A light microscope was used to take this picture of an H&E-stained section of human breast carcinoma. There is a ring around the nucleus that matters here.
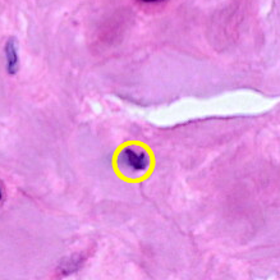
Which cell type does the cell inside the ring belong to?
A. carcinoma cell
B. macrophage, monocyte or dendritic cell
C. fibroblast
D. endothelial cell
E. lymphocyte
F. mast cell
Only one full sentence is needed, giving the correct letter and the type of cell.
Since the cell inside the ring is a fibroblast, the right option is C.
